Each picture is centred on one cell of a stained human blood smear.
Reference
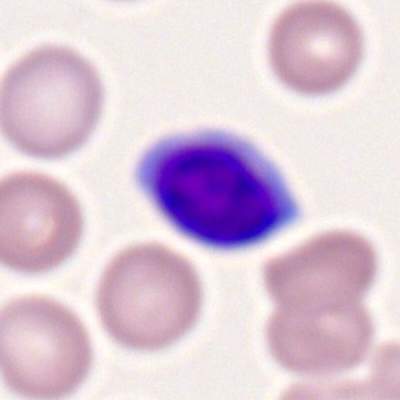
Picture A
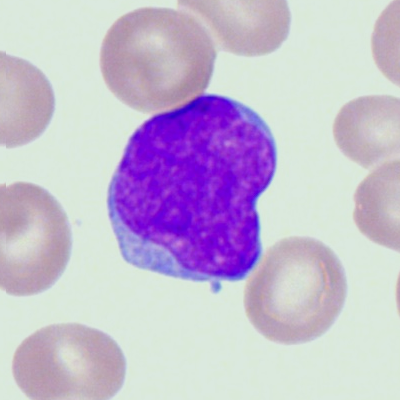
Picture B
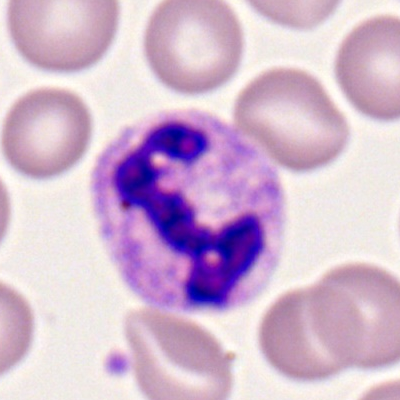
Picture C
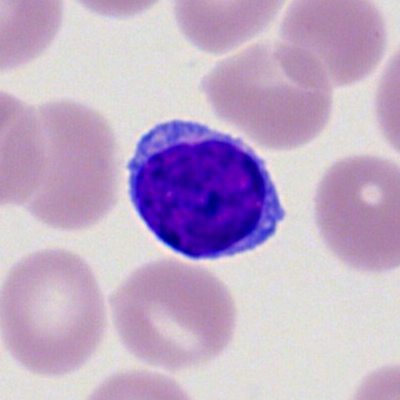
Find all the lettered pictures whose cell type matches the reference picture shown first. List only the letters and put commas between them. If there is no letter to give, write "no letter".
C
